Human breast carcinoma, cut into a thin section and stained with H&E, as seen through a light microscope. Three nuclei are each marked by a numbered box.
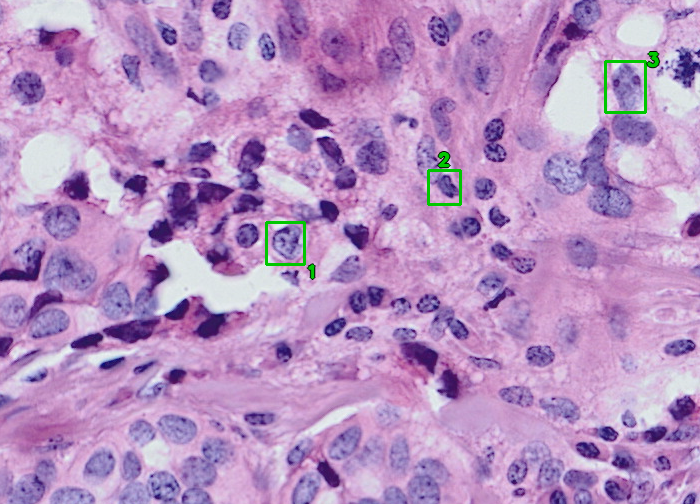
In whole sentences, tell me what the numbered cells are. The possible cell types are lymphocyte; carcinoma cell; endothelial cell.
Cells 1 and 3 are carcinoma cells. Cell 2 is a lymphocyte.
